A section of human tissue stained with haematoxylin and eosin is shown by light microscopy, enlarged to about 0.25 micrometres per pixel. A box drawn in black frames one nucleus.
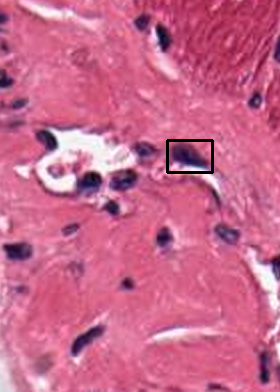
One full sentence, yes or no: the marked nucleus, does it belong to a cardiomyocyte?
No, rather than to a cardiomyocyte, the marked nucleus belongs to a supporting cell.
